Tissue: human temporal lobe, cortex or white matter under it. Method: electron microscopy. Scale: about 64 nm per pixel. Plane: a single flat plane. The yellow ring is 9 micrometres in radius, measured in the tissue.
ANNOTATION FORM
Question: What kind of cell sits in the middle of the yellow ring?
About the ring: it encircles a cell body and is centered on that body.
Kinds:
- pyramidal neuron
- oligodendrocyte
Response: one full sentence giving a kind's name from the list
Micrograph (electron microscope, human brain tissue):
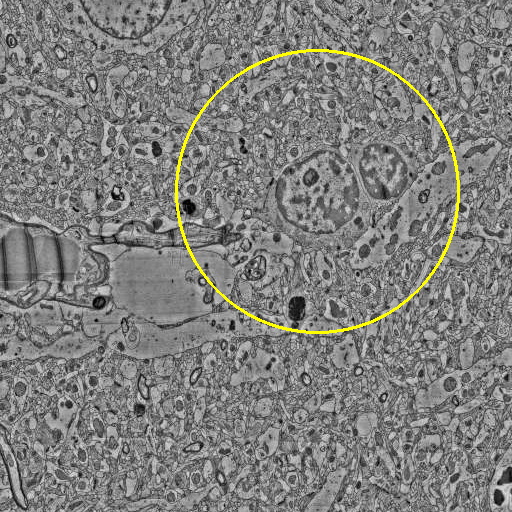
The kind of cell found at the center of the yellow ring in the micrograph is an oligodendrocyte.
